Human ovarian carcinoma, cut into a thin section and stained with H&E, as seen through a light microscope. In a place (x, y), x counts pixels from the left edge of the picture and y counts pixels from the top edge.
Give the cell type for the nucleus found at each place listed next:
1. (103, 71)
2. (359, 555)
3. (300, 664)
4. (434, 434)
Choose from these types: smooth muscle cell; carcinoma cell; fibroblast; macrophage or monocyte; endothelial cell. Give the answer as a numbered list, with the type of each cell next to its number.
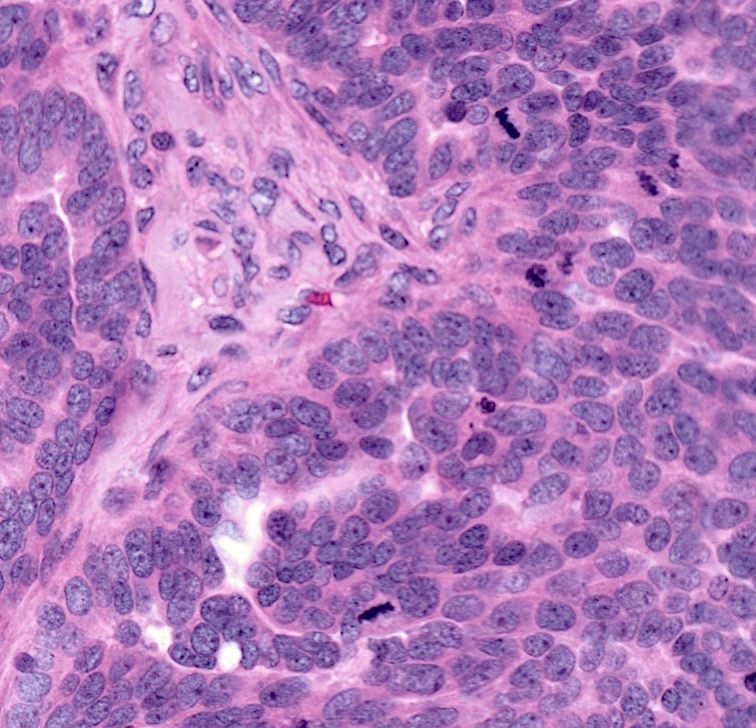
1. fibroblast
2. carcinoma cell
3. carcinoma cell
4. carcinoma cell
